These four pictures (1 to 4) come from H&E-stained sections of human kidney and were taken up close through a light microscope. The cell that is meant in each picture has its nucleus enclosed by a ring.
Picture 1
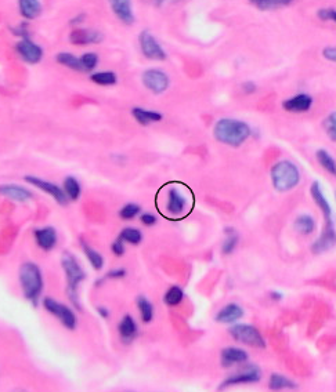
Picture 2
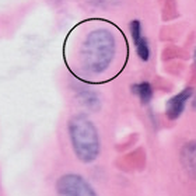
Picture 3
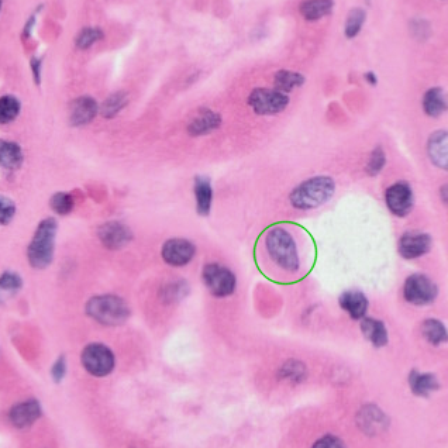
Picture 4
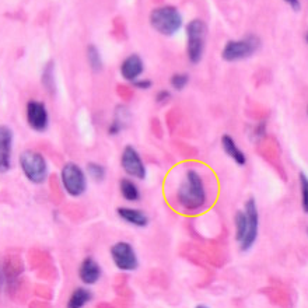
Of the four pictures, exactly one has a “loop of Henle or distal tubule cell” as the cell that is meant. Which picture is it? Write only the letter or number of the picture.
3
